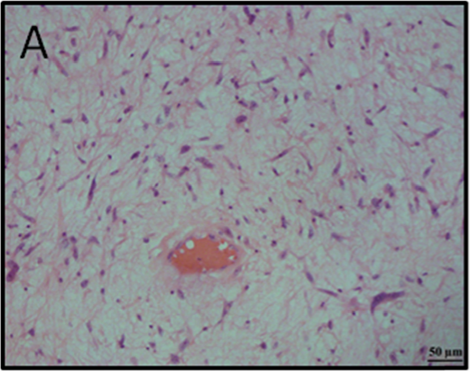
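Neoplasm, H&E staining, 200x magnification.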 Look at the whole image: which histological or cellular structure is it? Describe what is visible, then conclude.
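Most of the field is a pale, loose, wispy bluish-grey background substance. Cells lie scattered and widely spaced within this loose background. The answer: prominent myxoid matrix.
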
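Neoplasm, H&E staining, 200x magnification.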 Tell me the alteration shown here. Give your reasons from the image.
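Hypocellular. Nuclei are sparse relative to the large area of background matrix. Cells are spread apart with no dense sheets or clusters.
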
